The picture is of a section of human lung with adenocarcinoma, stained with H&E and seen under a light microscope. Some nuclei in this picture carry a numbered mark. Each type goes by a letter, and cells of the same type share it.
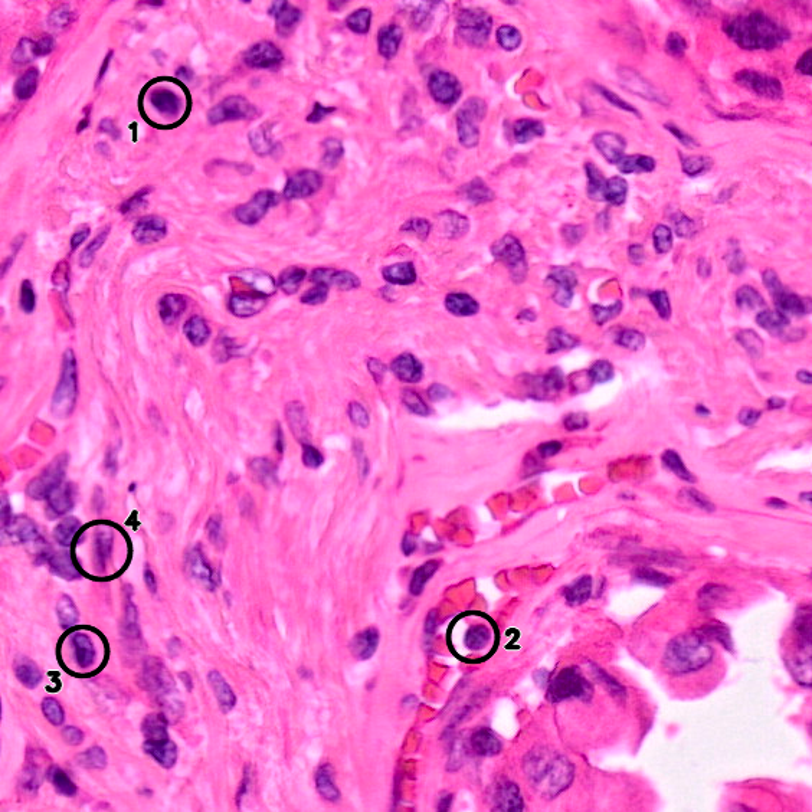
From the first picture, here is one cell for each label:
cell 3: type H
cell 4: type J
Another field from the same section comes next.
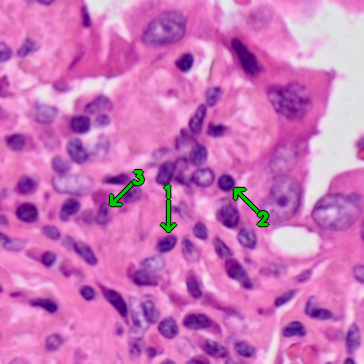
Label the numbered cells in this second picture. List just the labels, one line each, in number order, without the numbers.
type H
type H
type J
